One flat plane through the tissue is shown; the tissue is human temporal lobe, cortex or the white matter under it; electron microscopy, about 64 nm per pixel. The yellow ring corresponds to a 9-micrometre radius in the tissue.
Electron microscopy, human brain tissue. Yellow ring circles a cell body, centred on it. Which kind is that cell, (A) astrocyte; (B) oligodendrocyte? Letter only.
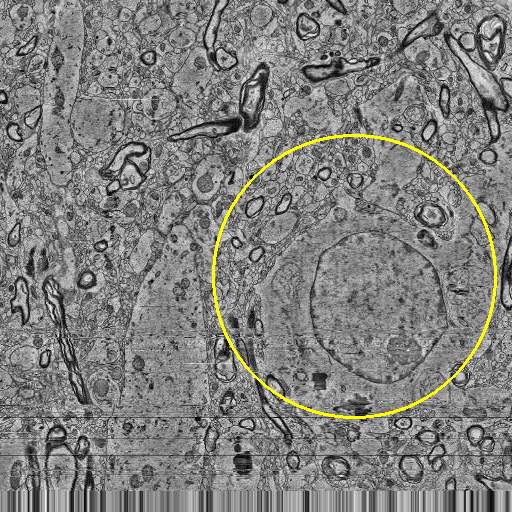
A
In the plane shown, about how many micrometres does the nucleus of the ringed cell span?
The nucleus is approximately 10 micrometers long by 8 micrometers wide in this plane.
